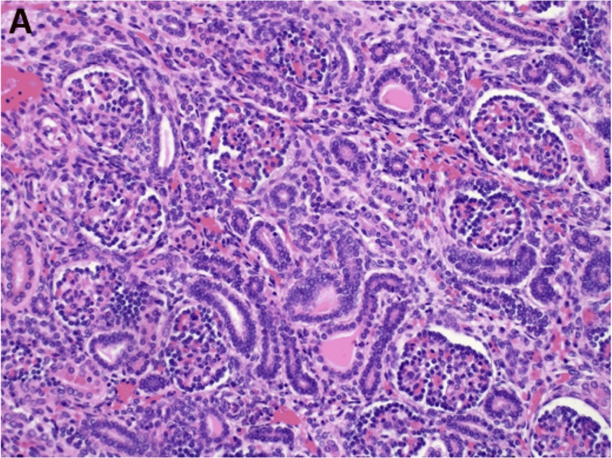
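Kidney tissue with many closely packed glomeruli, each a round, highly cellular tuft set within a thin capsule and separated from it by a clear crescent of space. Between them run tubules lined by a single layer of cuboidal cells with dark round nuclei and scant pale cytoplasm, cut lengthwise and across. Several tubule lumens hold smooth pink material, and the tissue between tubules is cellular with scattered red blood cells. The tubules look uniform, and none shows the tall eosinophilic cells with a luminal brush border typical of proximal tubules.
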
